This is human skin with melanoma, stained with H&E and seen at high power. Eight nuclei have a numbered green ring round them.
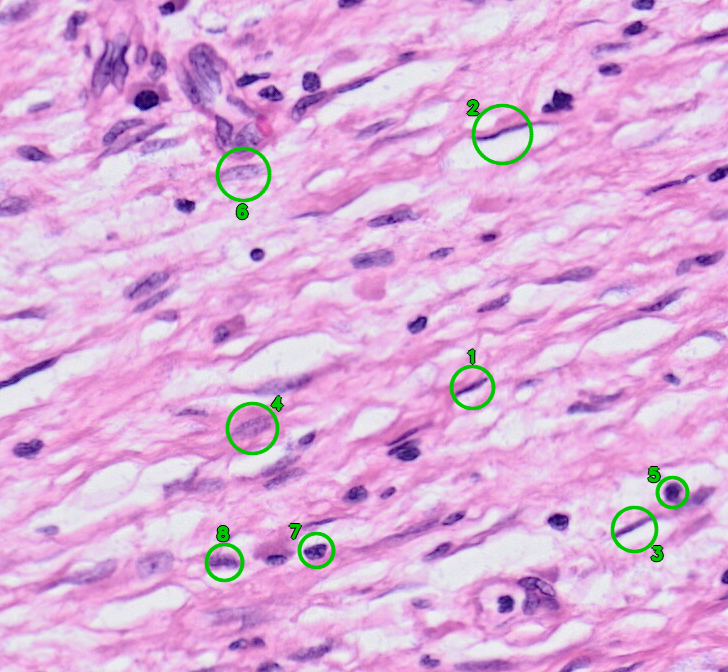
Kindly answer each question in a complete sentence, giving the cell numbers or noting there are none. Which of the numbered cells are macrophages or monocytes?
Just one numbered cell is a macrophage or monocyte, and that cell is number 8.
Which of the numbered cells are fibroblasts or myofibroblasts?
The numbers 1, 2, 3, 4 and 6 refer to cells that are fibroblasts or myofibroblasts.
